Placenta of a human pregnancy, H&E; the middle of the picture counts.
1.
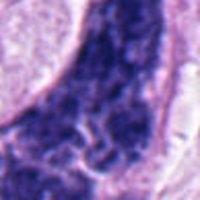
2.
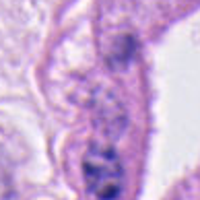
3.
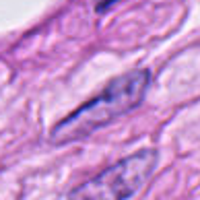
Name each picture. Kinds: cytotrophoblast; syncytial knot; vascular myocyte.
Picture 1: syncytial knot
Picture 2: cytotrophoblast
Picture 3: vascular myocyte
